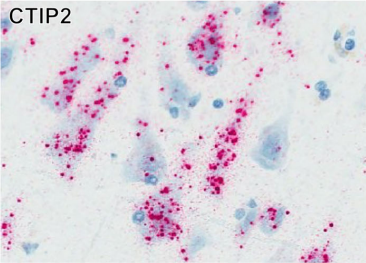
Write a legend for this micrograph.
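The dots are unevenly distributed: some large cells are crowded with them, while neighbouring large cells carry only a few. Smaller blue nuclei of surrounding cells are scattered between them.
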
